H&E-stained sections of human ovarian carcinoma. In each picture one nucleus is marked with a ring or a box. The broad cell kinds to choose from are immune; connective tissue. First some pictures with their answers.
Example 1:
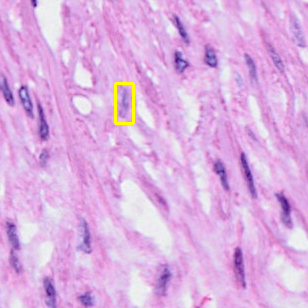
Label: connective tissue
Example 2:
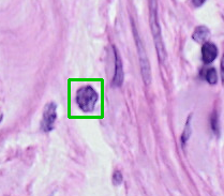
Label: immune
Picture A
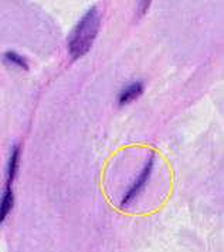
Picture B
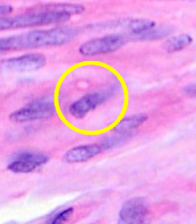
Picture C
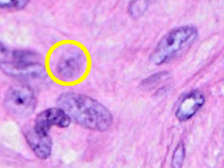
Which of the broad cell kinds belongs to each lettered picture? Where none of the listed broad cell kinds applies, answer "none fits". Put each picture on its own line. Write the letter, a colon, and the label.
A: connective tissue
B: none fits
C: connective tissue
